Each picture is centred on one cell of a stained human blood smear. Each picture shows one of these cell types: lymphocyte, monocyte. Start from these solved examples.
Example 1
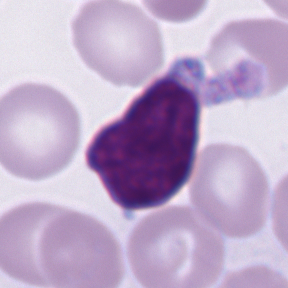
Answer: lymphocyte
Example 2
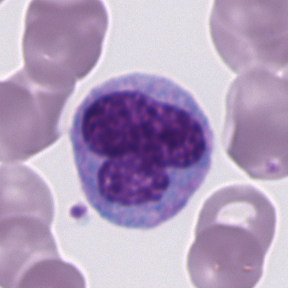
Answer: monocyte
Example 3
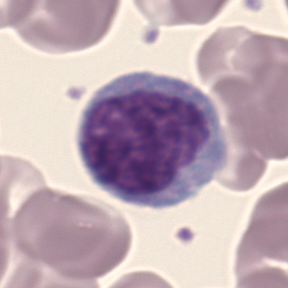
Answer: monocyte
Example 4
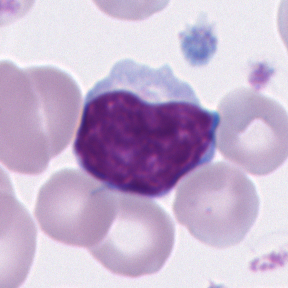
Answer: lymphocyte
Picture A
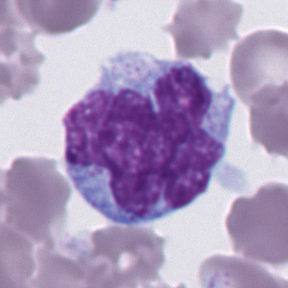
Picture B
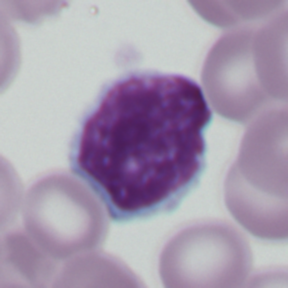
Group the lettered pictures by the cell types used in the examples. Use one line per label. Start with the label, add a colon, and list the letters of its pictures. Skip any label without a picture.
lymphocyte: B
monocyte: A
